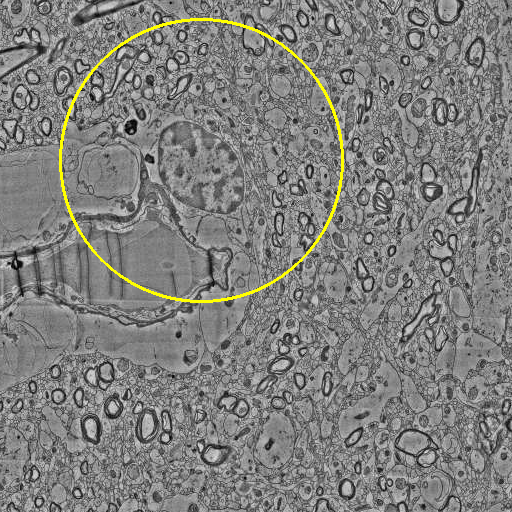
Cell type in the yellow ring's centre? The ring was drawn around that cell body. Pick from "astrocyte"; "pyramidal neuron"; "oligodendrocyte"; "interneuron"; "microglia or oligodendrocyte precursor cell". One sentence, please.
The ringed cell body is that of a microglial cell or oligodendrocyte precursor cell.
